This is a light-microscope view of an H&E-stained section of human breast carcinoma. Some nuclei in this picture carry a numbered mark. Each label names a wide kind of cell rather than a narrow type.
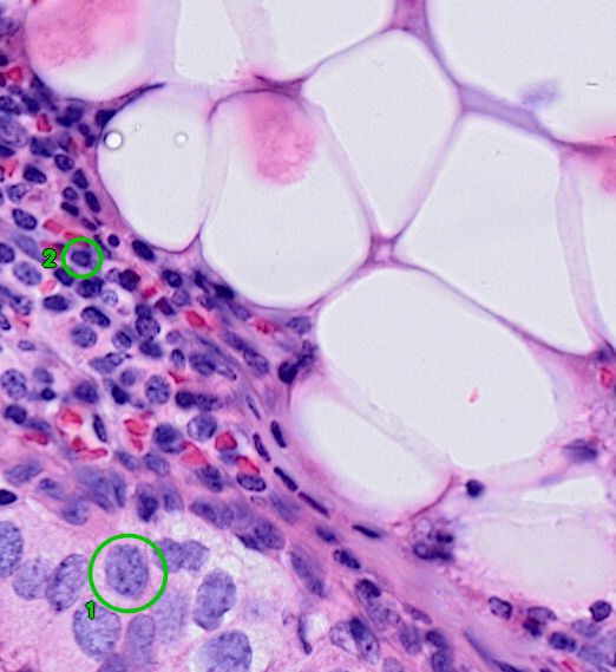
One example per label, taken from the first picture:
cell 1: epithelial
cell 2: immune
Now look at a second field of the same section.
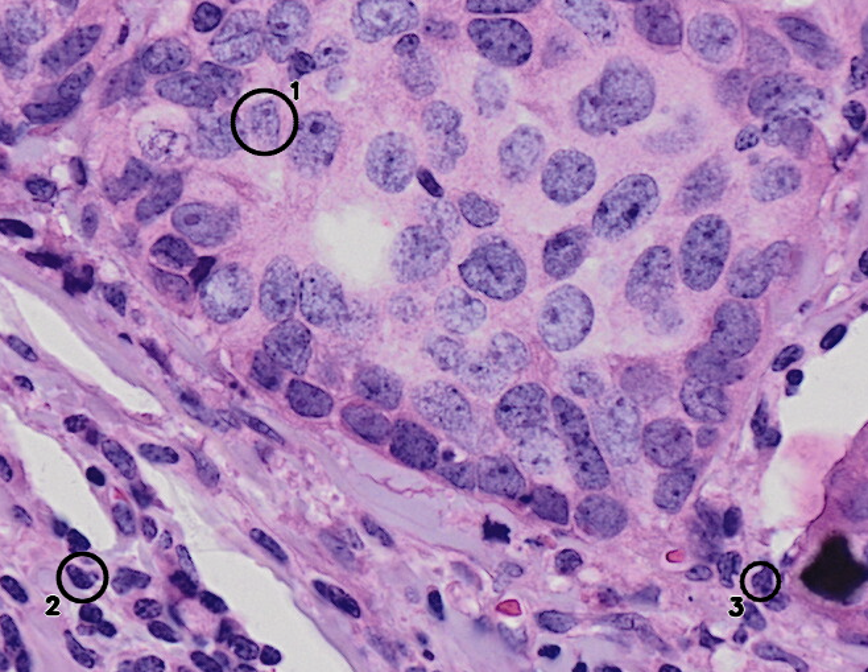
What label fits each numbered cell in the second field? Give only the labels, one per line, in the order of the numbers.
epithelial
immune
immune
